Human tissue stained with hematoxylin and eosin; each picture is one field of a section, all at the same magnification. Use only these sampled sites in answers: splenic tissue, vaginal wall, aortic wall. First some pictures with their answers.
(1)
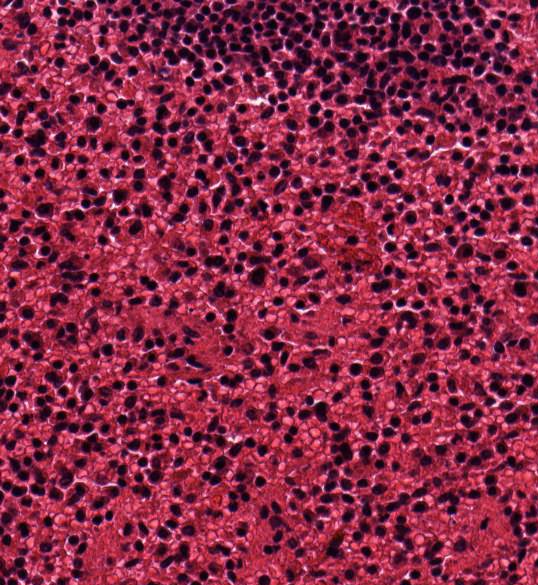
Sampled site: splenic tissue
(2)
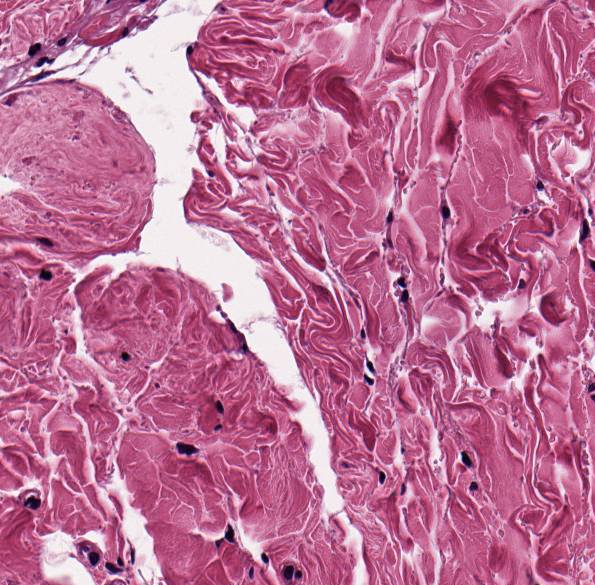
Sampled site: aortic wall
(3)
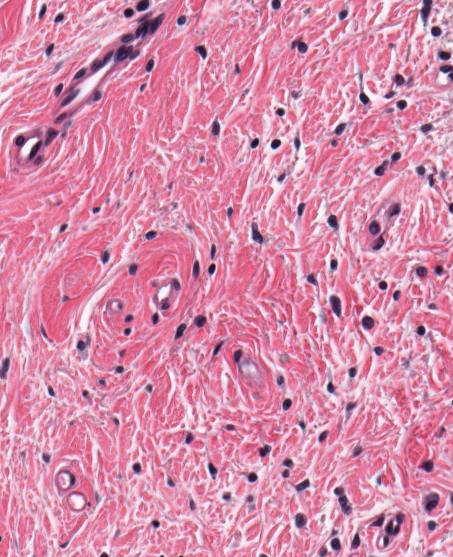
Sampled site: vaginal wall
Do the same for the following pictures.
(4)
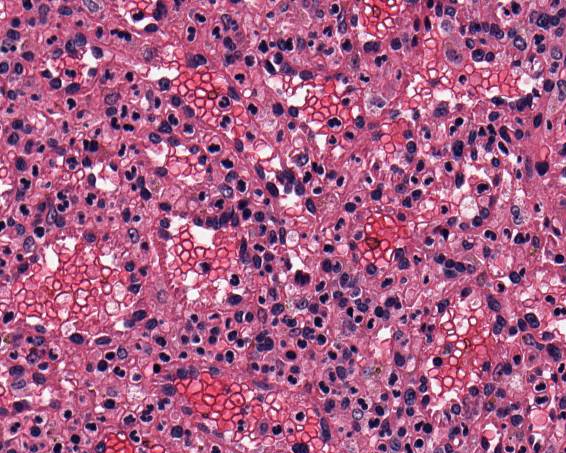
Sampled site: splenic tissue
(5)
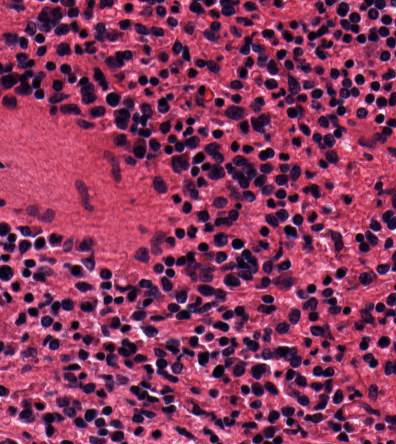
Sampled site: splenic tissue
